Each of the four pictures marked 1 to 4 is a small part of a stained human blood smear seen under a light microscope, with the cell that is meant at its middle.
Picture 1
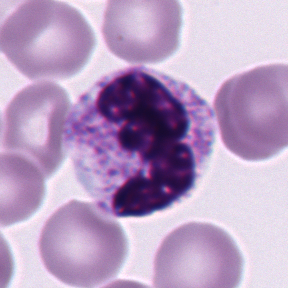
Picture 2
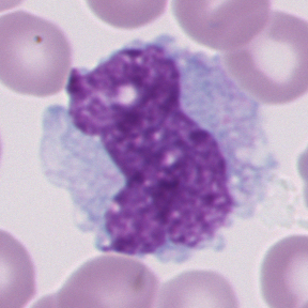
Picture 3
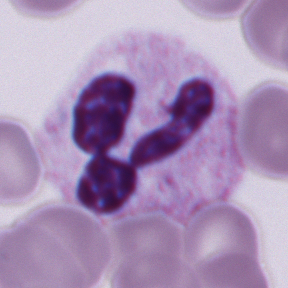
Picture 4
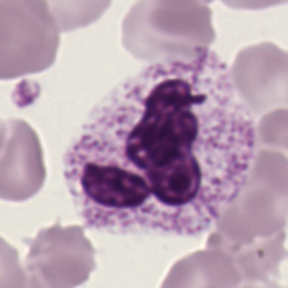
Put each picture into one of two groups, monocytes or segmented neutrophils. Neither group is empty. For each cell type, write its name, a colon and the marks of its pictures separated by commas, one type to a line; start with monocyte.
monocyte: 2
segmented neutrophil: 1, 3, 4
